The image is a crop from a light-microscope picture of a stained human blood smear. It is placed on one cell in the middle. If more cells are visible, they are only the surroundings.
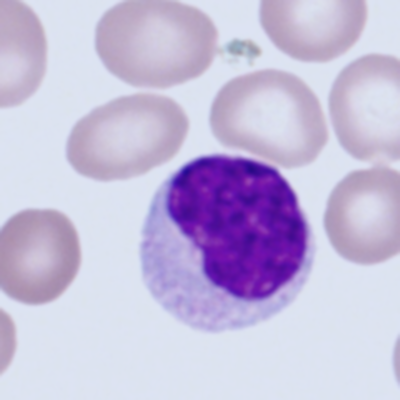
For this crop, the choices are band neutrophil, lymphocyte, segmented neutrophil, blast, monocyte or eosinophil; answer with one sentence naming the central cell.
The centrally positioned cell in the crop represents a lymphocyte.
